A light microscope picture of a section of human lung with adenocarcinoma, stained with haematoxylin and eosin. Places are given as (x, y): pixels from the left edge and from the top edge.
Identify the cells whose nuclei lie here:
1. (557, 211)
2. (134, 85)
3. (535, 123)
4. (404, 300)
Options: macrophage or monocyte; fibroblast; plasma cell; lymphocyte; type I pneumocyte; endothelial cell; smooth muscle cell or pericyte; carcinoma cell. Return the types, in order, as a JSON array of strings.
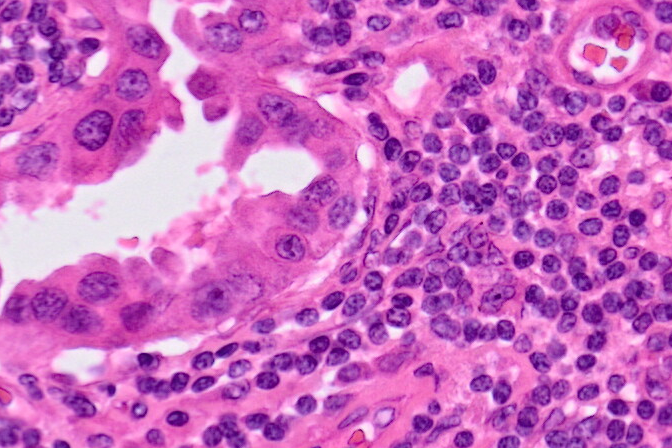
["lymphocyte", "carcinoma cell", "lymphocyte", "lymphocyte"]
